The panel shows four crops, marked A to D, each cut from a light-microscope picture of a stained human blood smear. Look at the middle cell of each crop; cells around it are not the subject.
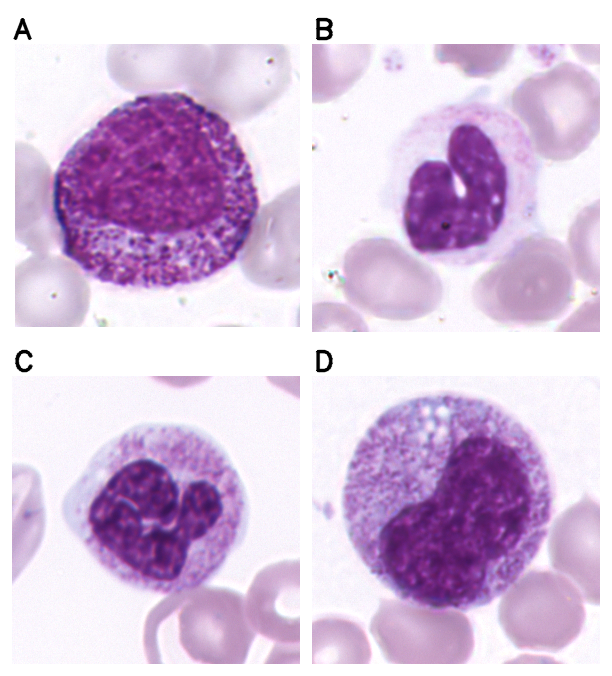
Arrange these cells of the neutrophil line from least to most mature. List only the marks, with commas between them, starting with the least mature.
A, D, B, C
